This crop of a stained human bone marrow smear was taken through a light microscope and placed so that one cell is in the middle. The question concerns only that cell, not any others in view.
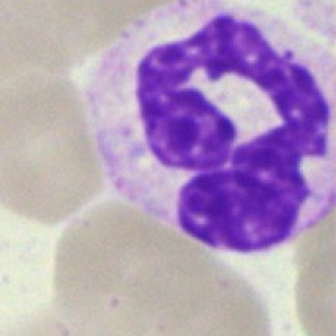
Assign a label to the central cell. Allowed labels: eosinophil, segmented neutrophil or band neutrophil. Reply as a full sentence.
Present in the middle of the crop is a segmented neutrophil.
